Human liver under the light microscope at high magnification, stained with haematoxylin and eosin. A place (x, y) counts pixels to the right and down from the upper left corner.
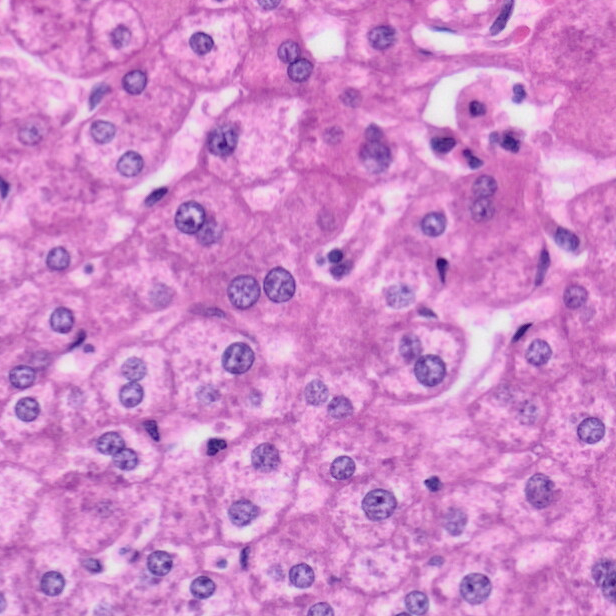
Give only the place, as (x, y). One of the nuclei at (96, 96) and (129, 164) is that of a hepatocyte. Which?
(129, 164)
